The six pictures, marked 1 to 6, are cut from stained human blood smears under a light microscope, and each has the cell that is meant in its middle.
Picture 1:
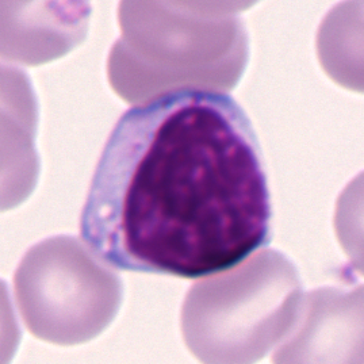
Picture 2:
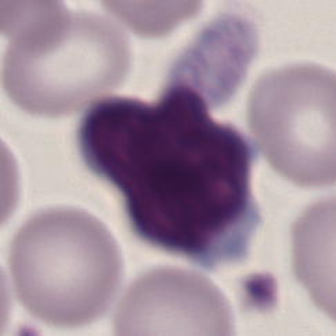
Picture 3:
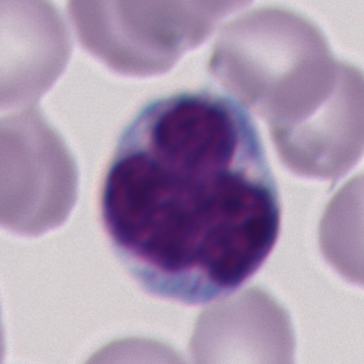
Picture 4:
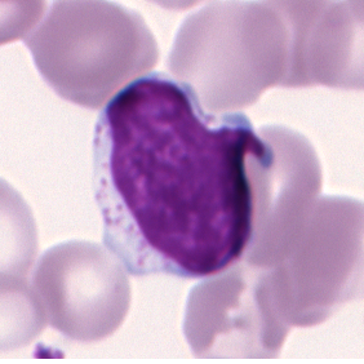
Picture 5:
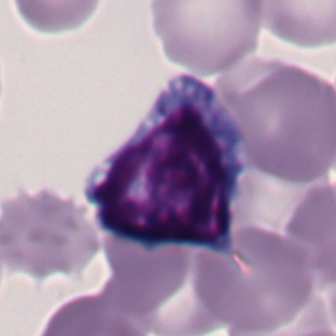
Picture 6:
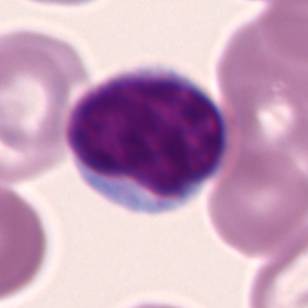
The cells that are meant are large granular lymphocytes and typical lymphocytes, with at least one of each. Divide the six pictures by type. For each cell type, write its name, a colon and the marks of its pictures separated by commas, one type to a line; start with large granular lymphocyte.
large granular lymphocyte: 1, 4
typical lymphocyte: 2, 3, 5, 6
